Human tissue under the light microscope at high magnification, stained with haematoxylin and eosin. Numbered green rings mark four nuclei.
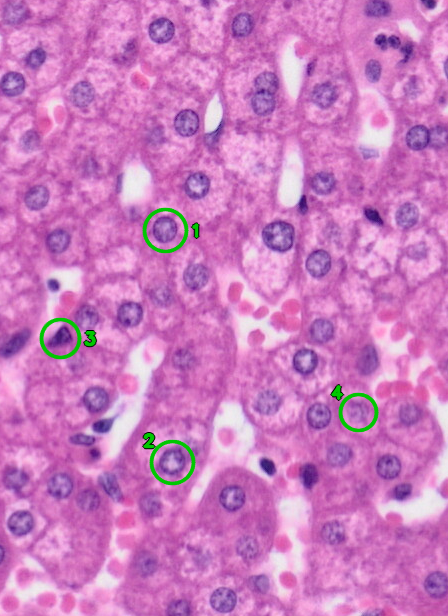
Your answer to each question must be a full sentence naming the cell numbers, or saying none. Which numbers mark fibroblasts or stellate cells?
Of the marked cells, the one numbered 3 is a fibroblast or stellate cell and the rest are not.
